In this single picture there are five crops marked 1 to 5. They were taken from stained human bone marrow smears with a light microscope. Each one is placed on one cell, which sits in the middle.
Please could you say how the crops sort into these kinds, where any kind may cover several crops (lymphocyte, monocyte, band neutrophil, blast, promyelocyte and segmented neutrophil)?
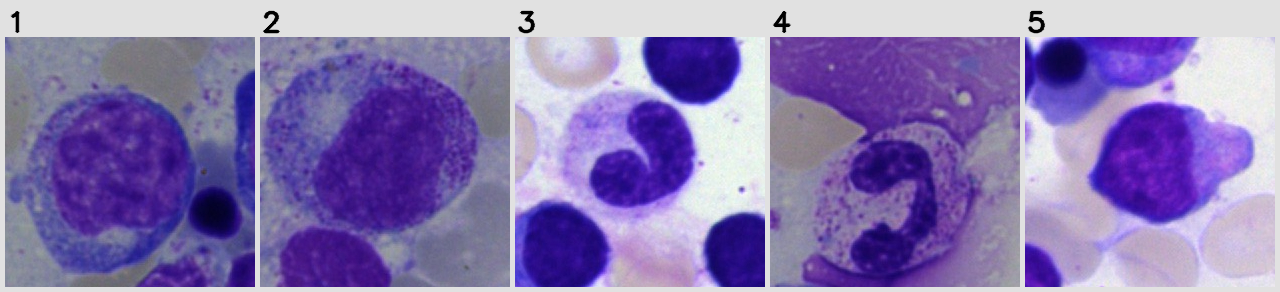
1: blast
2: promyelocyte
3: band neutrophil
4: segmented neutrophil
5: blast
